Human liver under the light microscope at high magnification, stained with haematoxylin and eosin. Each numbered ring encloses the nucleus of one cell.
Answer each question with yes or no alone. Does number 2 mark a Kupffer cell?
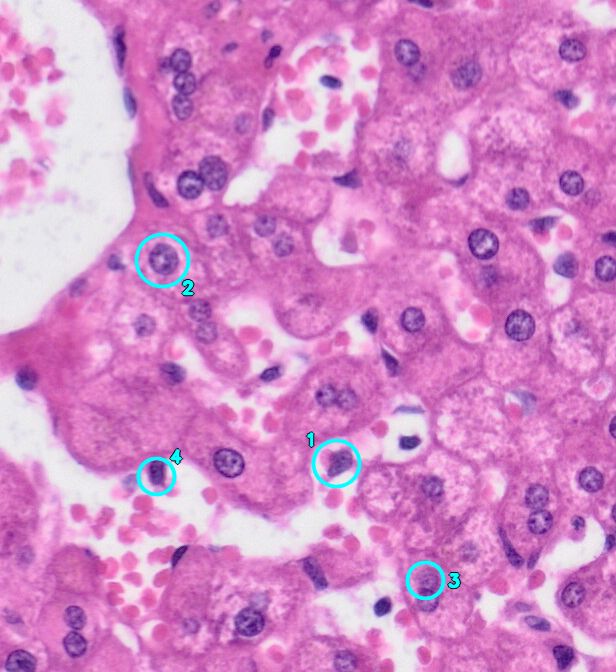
no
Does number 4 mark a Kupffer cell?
yes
